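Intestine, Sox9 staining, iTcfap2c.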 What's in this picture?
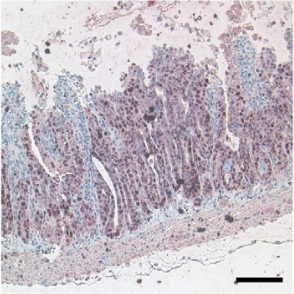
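The stained epithelial cells line crowded, irregular crypt-like and villus-like structures running from the muscle layer at the bottom toward the lumen. The normal slender, orderly villi are not seen; the surface is ragged, with cells and debris shed into the lumen above. A thin pinkish muscle layer lines the base of the section.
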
